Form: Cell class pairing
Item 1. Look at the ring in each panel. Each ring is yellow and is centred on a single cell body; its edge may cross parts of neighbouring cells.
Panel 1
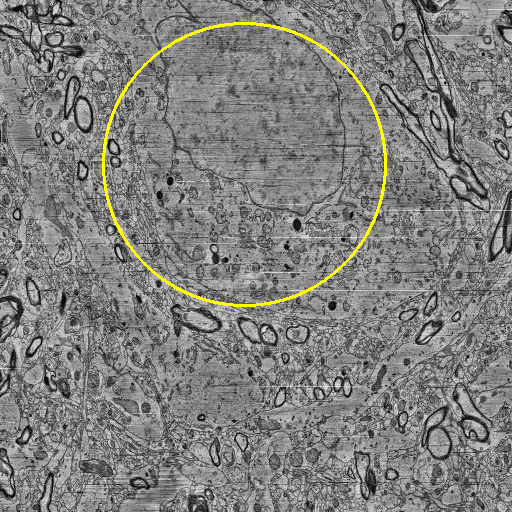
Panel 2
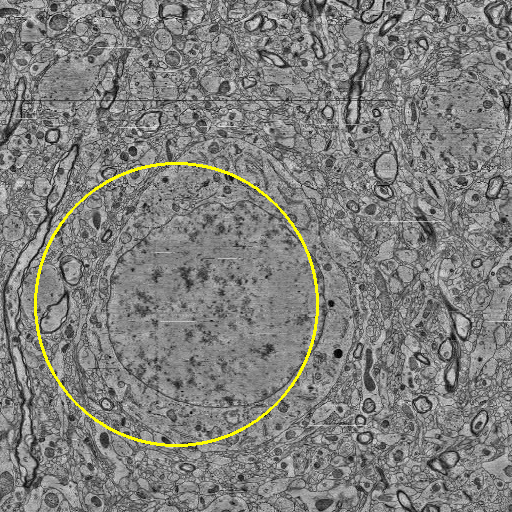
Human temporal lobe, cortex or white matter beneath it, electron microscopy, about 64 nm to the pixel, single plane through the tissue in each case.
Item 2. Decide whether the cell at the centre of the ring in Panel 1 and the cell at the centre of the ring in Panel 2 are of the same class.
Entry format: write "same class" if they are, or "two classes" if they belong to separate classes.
same class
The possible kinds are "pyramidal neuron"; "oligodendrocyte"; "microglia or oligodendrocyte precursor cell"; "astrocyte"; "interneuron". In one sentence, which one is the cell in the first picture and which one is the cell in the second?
In both pictures the ring is centred on a pyramidal neuron.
